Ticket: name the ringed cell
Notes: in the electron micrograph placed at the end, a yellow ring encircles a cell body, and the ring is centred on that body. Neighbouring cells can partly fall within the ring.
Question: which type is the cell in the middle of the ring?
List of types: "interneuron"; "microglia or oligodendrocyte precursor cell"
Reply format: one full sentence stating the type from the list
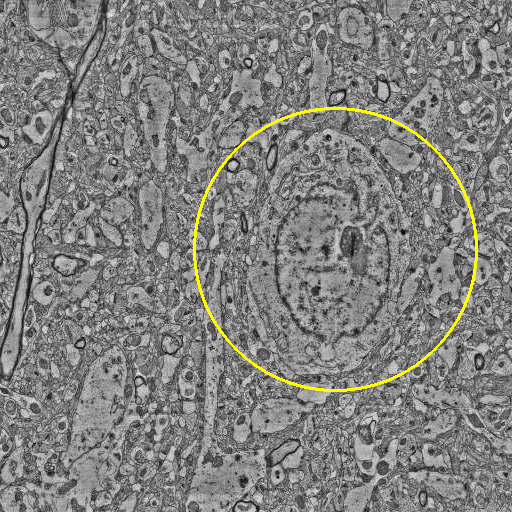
The cell sitting at the centre of the yellow ring is an interneuron.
